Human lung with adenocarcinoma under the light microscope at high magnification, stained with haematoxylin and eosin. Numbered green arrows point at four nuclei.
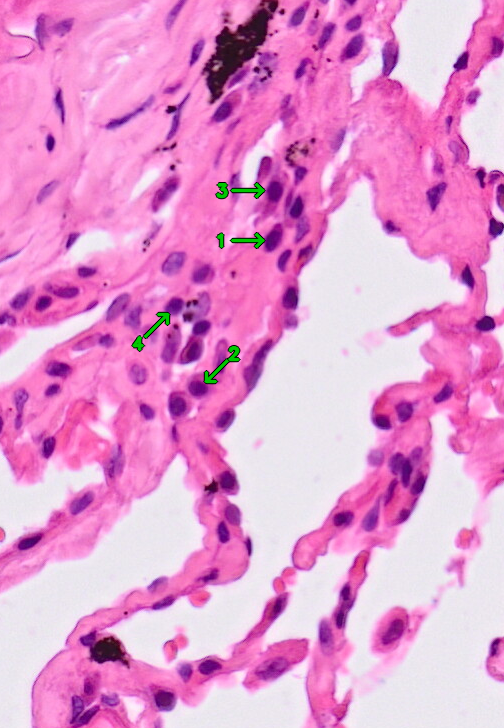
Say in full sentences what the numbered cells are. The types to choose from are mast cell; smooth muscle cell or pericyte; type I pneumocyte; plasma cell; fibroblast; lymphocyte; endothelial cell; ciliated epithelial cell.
Cell 1 is a plasma cell, cell 2 is a plasma cell, cell 3 is a plasma cell and cell 4 is a lymphocyte.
